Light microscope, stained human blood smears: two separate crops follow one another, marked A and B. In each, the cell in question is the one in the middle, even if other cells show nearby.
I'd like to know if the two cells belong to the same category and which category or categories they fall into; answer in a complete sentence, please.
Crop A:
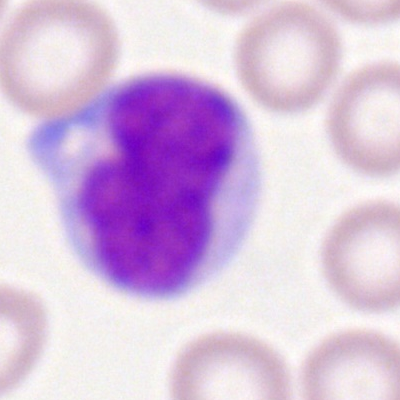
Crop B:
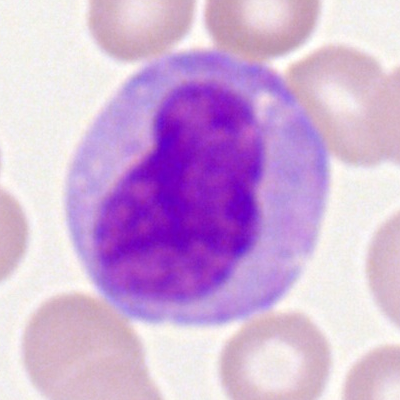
Yes, the cells centred in the two crops are both monocytes.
